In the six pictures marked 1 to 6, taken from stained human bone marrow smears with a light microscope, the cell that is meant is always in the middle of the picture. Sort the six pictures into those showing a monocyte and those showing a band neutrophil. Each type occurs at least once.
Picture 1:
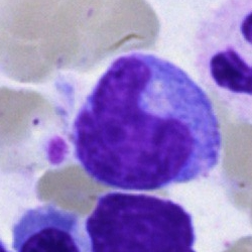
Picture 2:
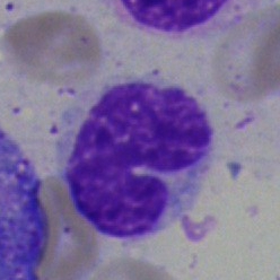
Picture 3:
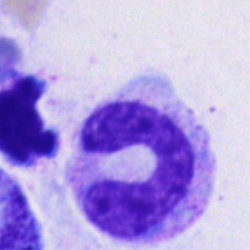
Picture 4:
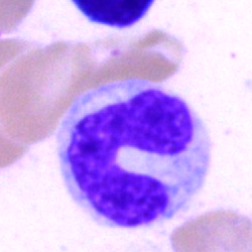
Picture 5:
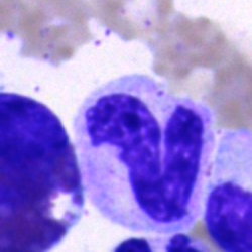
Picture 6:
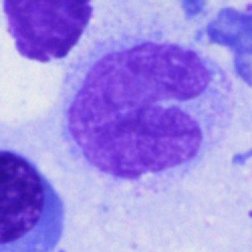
1: monocyte
2: monocyte
3: band neutrophil
4: band neutrophil
5: band neutrophil
6: monocyte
